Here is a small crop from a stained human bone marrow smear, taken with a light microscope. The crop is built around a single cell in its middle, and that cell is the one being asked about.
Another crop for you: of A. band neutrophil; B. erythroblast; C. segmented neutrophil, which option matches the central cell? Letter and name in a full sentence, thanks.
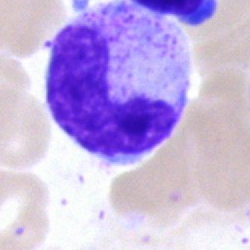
Of the choices given, option A is right, as the central cell is a band neutrophil.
